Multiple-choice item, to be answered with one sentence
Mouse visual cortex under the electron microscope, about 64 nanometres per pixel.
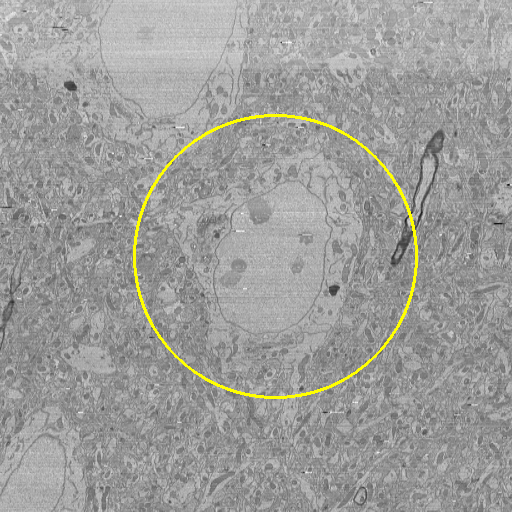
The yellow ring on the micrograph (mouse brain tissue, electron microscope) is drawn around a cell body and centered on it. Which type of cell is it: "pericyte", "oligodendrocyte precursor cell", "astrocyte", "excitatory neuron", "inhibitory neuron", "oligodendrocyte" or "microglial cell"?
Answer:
The ring is centered on an excitatory neuron.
